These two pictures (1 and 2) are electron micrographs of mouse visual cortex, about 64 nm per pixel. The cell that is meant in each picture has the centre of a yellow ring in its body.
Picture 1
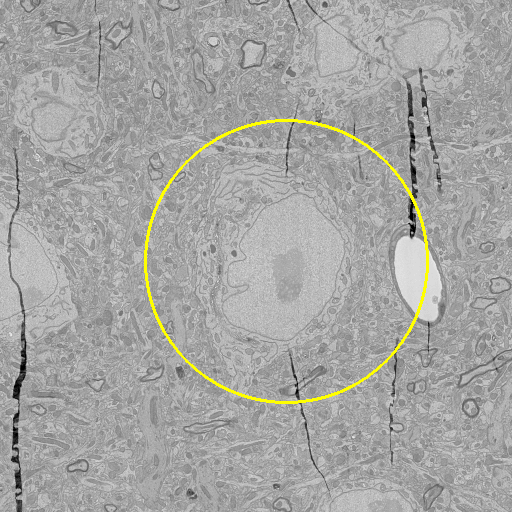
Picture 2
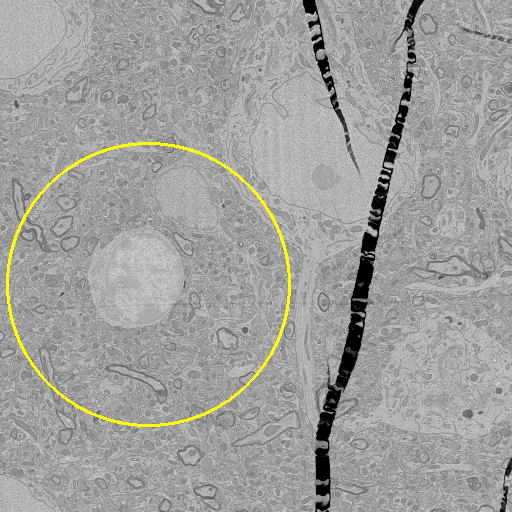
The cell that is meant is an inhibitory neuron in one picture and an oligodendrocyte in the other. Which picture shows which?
Picture 1 shows an inhibitory neuron and picture 2 shows an oligodendrocyte.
